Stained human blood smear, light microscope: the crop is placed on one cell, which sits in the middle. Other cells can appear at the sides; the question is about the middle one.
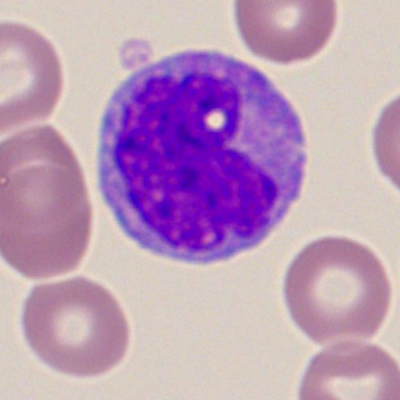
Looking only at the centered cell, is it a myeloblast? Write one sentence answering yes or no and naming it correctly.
No, the middle cell is classified as a monocyte and not as a myeloblast.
